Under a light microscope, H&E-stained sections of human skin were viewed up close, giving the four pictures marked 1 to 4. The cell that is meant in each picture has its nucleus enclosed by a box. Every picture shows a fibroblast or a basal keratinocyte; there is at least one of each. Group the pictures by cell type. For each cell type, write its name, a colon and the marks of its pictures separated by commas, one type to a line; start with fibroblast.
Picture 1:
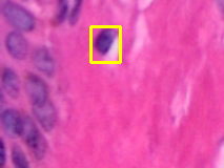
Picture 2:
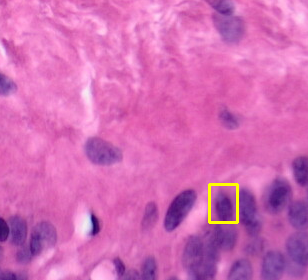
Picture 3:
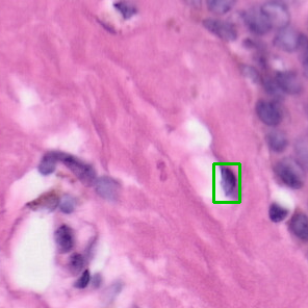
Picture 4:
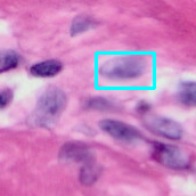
fibroblast: 1, 3, 4
basal keratinocyte: 2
